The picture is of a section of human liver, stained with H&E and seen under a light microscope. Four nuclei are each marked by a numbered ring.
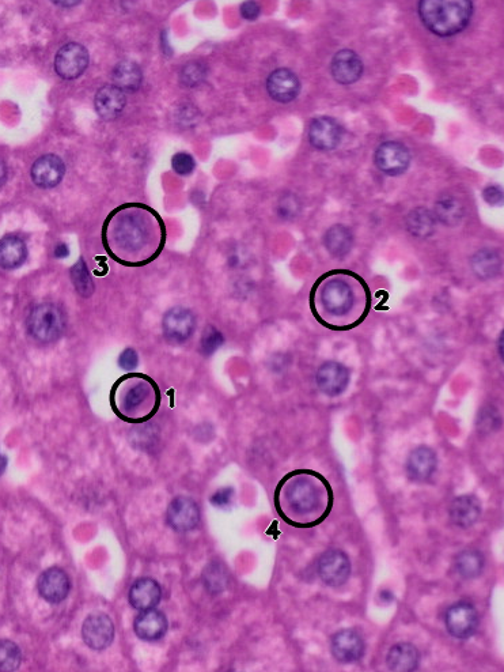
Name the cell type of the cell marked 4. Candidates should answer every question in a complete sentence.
The cell pointed out by number 4 is a hepatocyte.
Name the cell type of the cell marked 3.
The nucleus marked 3 is the nucleus of a hepatocyte.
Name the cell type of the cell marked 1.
Cell 1, as marked in the section, is a Kupffer cell.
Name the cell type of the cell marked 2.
The cell that goes by number 2 is a hepatocyte.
